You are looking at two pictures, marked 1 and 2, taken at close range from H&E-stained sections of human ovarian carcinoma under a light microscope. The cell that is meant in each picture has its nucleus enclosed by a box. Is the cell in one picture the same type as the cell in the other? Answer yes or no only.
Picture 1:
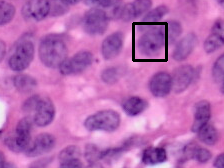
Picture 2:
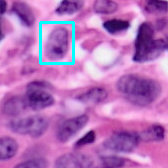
no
